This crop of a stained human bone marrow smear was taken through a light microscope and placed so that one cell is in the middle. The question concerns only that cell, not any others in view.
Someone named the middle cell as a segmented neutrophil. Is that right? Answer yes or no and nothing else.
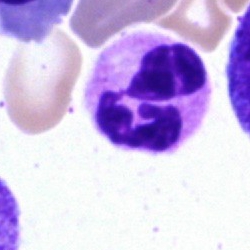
yes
